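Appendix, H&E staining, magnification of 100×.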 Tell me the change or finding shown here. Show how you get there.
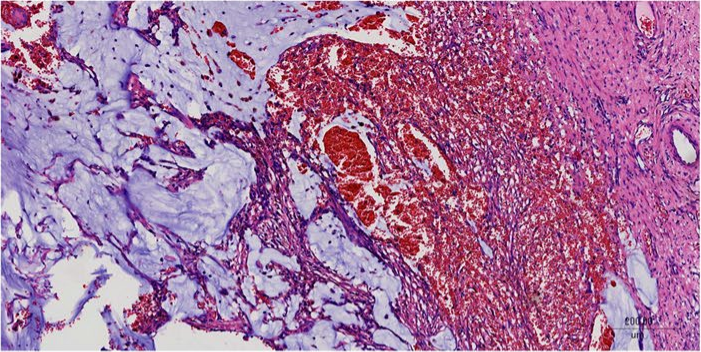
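Sheets of red blood cells lie freely in the tissue outside vessel walls. Vessels in the centre are packed with red blood cells. The answer: hemorrhage.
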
